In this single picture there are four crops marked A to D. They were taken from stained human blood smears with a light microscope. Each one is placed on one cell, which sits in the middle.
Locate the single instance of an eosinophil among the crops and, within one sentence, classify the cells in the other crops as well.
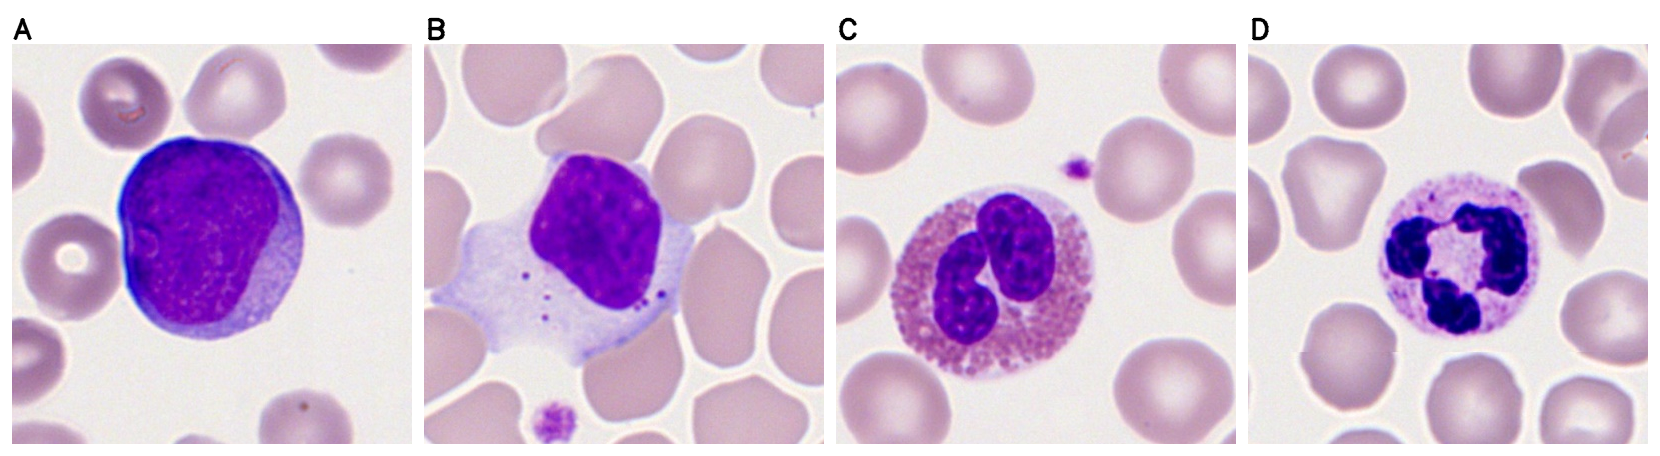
The cell sitting in crop C is an eosinophil, while crop A is a blast, crop B is a lymphocyte and crop D is a neutrophil.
